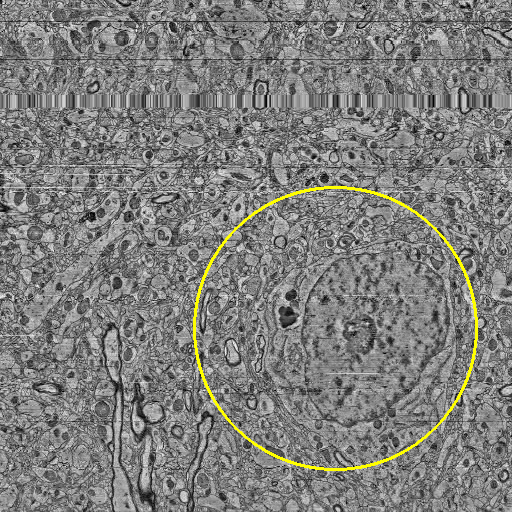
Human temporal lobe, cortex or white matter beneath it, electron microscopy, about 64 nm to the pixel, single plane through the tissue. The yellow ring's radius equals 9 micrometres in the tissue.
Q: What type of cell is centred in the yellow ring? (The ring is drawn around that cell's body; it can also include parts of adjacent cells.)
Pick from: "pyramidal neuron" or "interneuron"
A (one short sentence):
The yellow ring is centred on an interneuron.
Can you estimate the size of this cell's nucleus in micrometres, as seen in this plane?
In this plane the nucleus measures roughly 12 by 9 micrometers.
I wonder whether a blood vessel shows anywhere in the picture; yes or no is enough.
No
